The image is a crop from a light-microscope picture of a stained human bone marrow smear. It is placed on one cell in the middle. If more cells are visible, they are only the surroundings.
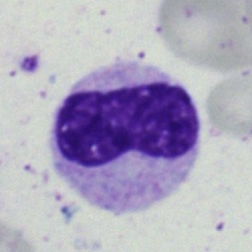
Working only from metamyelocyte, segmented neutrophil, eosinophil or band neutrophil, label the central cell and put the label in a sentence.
What sits at the centre of this crop is a band neutrophil.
